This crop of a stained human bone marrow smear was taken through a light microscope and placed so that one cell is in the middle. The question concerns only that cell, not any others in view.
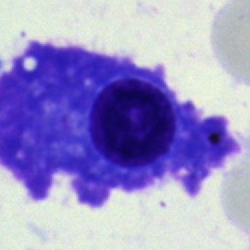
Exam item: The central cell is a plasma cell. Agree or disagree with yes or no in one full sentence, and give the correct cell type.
Yes, the cell lying in the centre of the crop is identified as a plasma cell.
